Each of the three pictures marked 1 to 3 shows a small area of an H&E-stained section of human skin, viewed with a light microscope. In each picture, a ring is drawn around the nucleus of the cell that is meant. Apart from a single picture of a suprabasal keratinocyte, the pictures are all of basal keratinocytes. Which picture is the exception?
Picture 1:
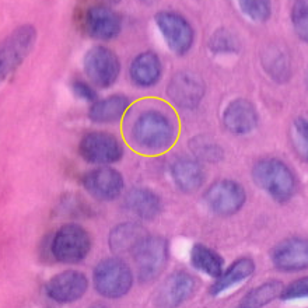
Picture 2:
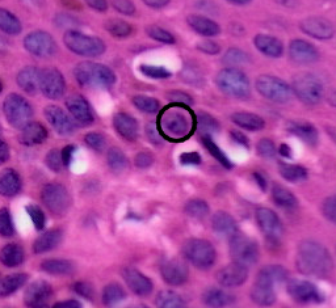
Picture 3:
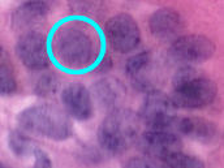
1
